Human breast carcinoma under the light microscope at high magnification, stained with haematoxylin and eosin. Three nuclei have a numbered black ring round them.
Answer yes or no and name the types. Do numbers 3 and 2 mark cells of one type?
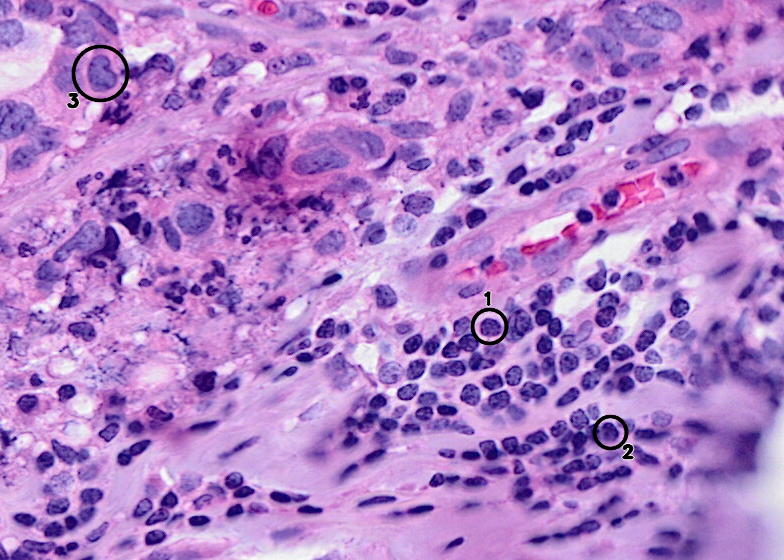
No, cell 3 is a carcinoma cell and cell 2 is a lymphocyte.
